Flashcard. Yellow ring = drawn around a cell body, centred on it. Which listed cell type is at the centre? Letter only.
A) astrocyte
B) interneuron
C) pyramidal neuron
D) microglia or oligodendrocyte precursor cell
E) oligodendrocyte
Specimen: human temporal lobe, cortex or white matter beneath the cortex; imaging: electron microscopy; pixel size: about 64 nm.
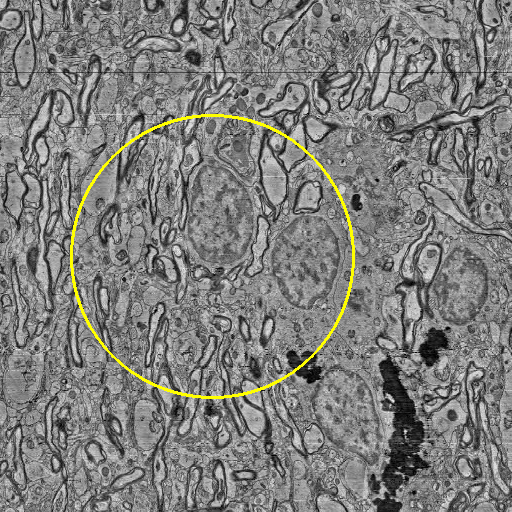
E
